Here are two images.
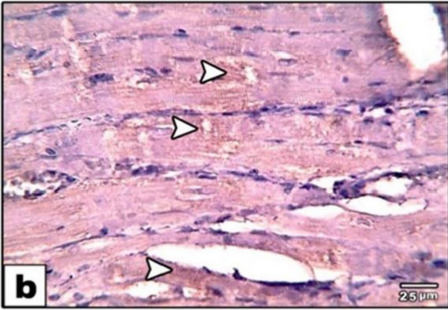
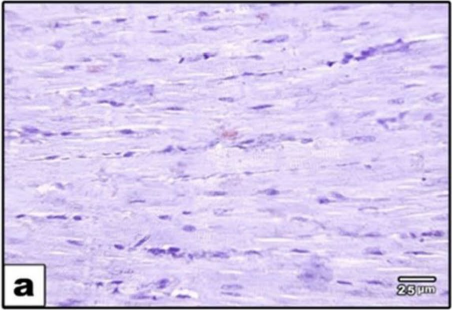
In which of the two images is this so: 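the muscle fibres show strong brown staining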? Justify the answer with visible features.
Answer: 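The first image. First image: the fibres have a diffuse pink-brown cytoplasm with darker brown patches near the arrowheads. Second image: the fibres are pale blue-violet with hardly any brown colour.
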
